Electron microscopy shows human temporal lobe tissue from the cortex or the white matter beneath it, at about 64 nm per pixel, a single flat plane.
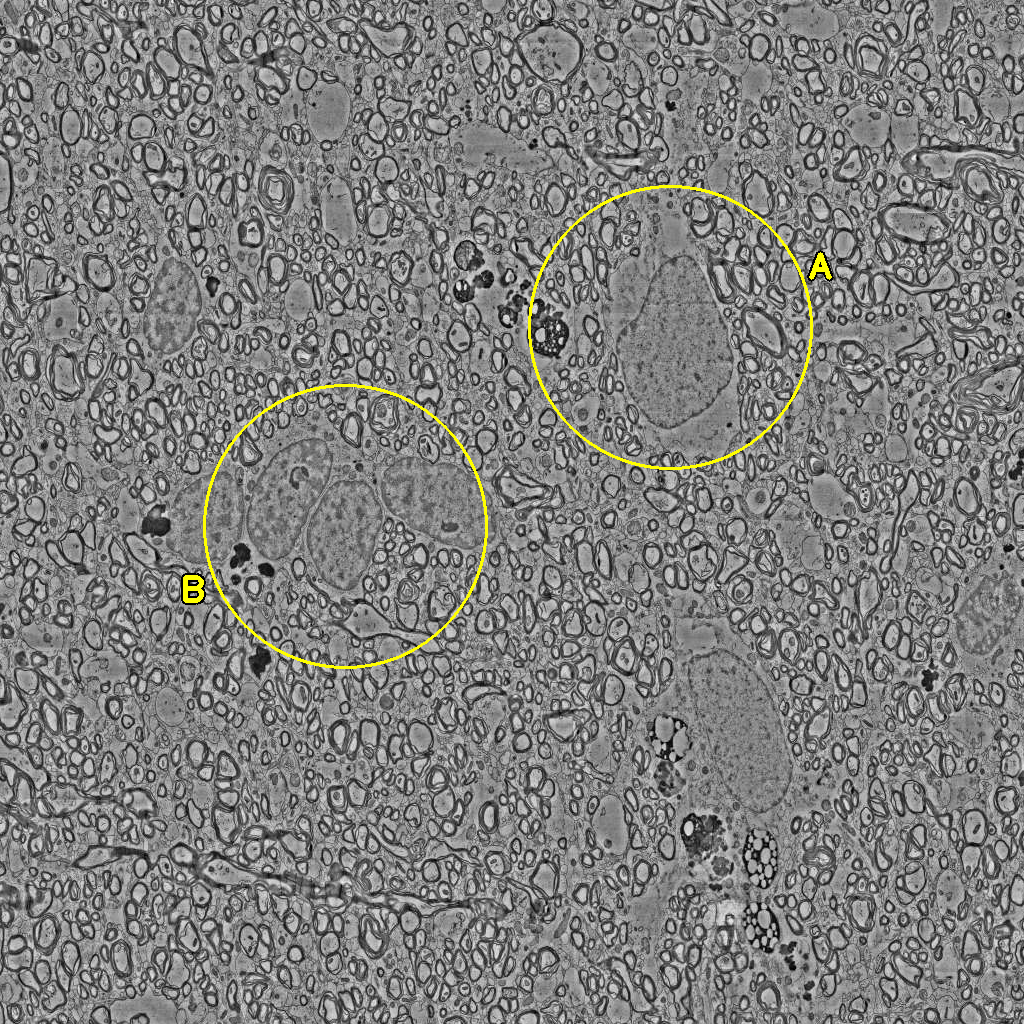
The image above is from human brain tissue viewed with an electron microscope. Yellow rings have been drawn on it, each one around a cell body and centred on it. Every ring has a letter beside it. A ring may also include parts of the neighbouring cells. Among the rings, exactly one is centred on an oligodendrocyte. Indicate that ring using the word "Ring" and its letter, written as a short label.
Ring B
